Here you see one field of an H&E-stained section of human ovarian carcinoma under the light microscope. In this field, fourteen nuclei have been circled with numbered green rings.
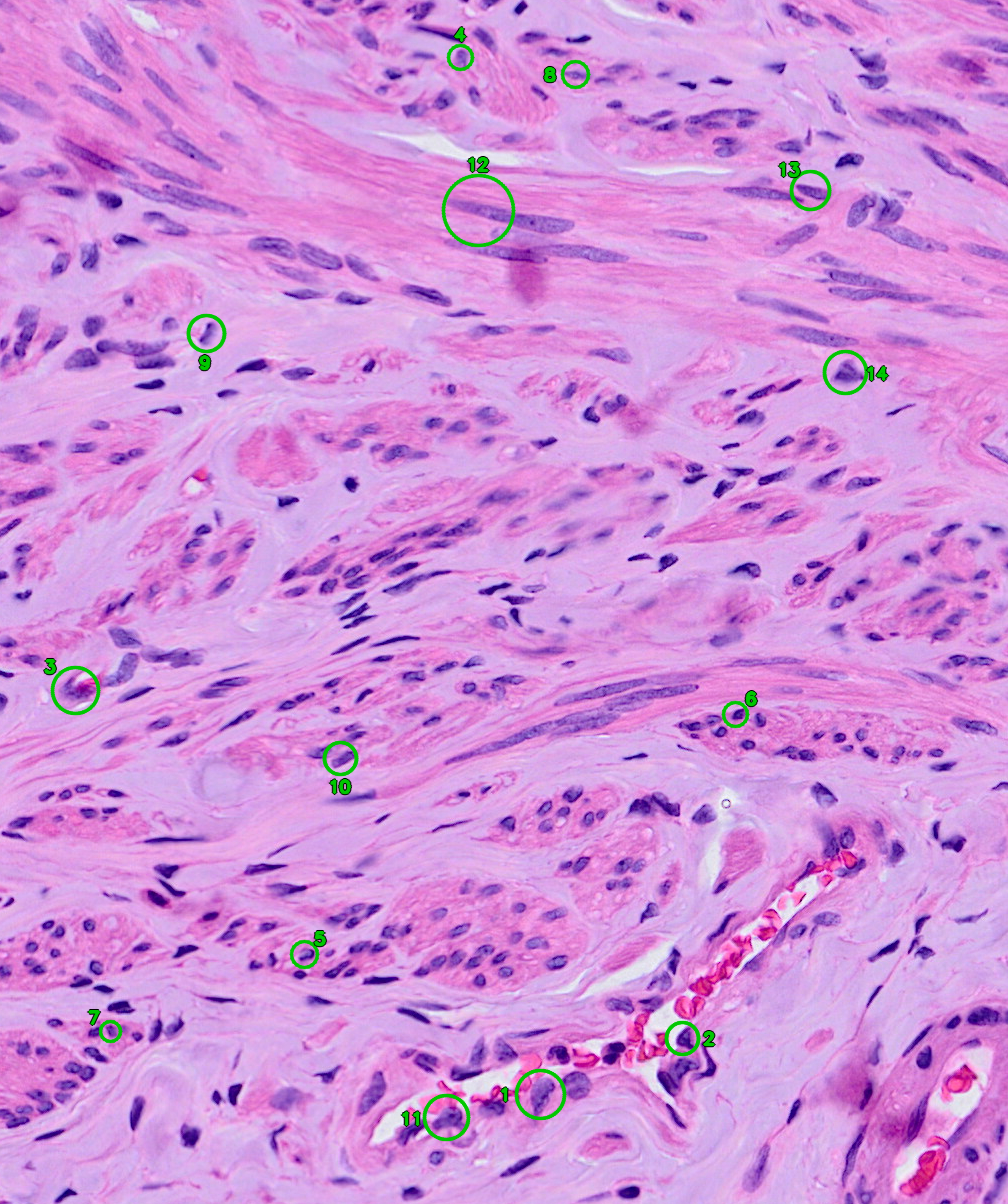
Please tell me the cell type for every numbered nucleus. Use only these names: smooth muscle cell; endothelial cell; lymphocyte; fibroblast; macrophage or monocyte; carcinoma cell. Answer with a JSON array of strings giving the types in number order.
["endothelial cell", "endothelial cell", "endothelial cell", "smooth muscle cell", "smooth muscle cell", "smooth muscle cell", "smooth muscle cell", "smooth muscle cell", "fibroblast", "smooth muscle cell", "endothelial cell", "smooth muscle cell", "smooth muscle cell", "fibroblast"]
